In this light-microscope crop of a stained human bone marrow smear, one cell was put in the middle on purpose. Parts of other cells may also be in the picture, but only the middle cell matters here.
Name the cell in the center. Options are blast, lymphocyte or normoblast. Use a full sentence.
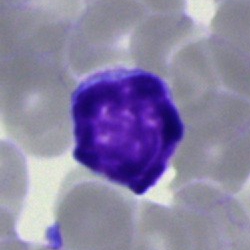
Of the cells in this crop, the central one is a lymphocyte.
